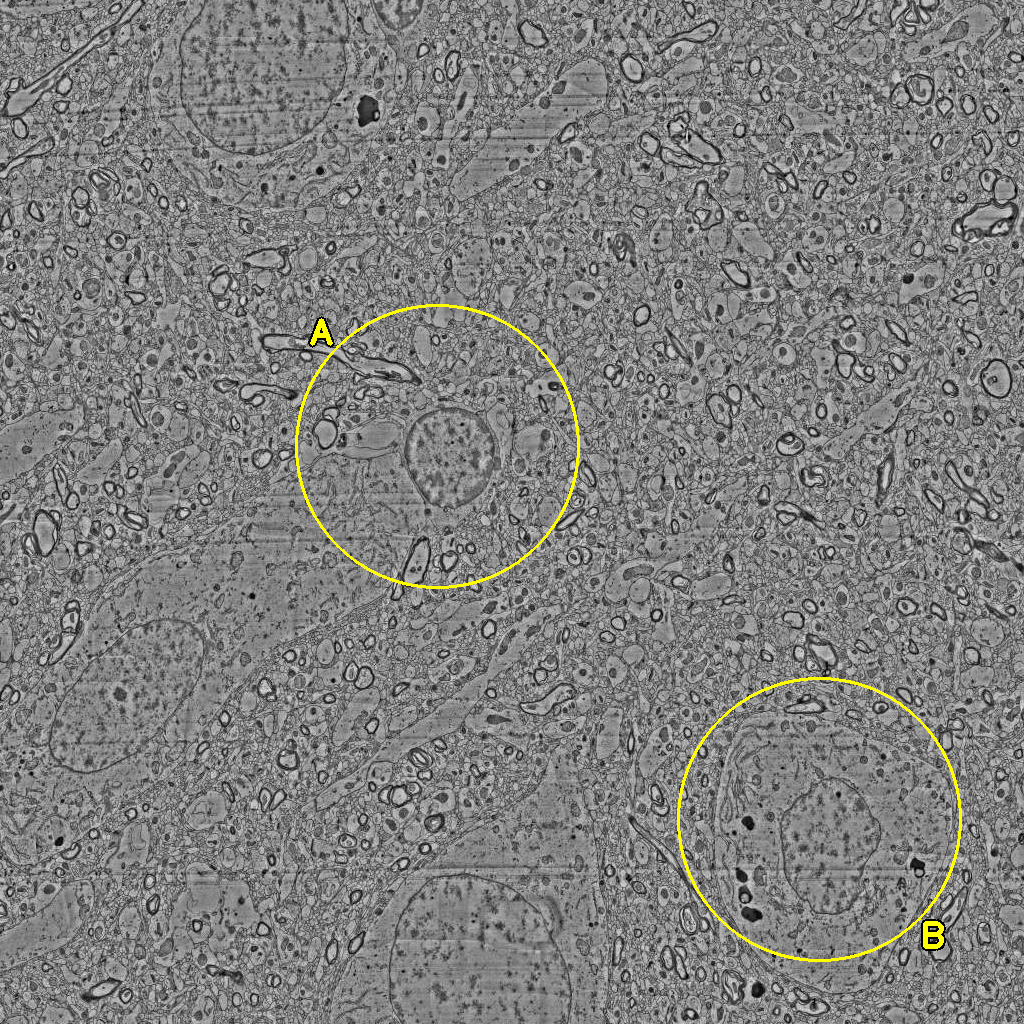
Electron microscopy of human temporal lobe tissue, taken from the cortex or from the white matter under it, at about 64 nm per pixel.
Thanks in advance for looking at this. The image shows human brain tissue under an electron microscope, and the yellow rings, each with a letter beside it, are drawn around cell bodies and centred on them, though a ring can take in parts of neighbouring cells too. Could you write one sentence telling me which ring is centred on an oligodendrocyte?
Ring A is centred on it.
